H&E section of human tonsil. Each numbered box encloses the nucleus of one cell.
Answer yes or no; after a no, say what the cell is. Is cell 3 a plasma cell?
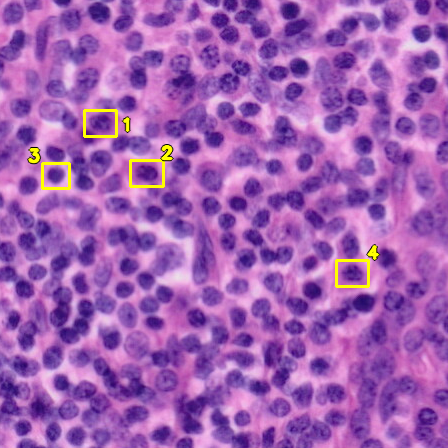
No, it is a small lymphocyte.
